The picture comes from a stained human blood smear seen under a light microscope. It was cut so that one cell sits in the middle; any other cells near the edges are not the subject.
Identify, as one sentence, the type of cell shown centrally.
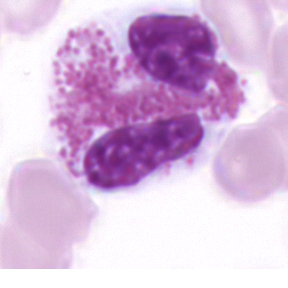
The cell of interest, in the center, is an eosinophil.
